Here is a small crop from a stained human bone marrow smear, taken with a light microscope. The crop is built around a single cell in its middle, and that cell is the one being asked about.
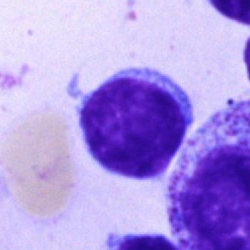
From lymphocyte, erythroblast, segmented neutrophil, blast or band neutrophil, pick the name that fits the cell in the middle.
lymphocyte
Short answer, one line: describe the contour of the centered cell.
The edge is uneven, and this unevenness takes the form of ragged stretches or projections.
